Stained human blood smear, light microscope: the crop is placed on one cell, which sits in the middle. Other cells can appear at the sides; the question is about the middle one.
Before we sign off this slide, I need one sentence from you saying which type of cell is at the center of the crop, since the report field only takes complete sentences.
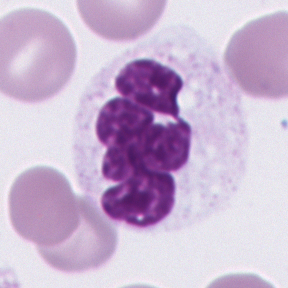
The cell at the middle of the crop is recognized as a segmented neutrophil.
